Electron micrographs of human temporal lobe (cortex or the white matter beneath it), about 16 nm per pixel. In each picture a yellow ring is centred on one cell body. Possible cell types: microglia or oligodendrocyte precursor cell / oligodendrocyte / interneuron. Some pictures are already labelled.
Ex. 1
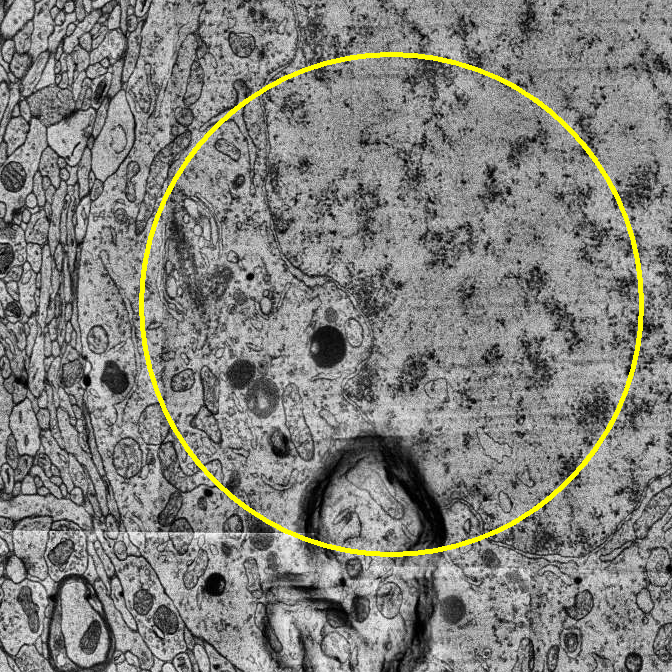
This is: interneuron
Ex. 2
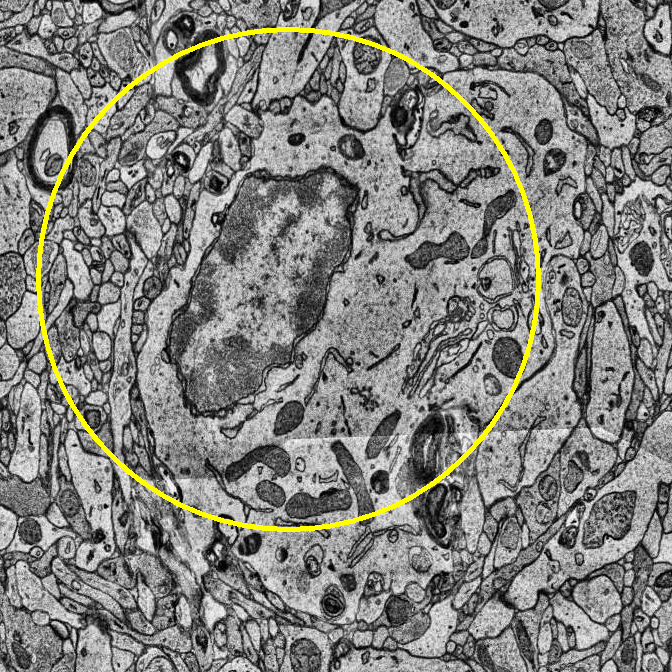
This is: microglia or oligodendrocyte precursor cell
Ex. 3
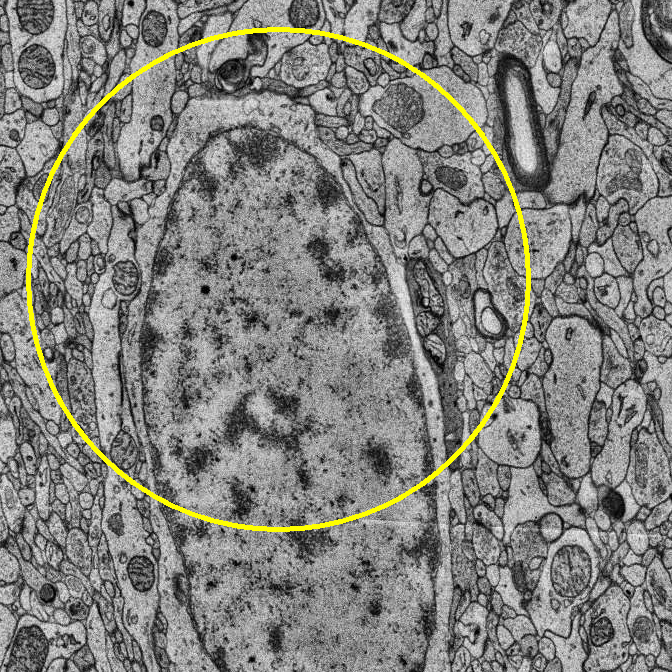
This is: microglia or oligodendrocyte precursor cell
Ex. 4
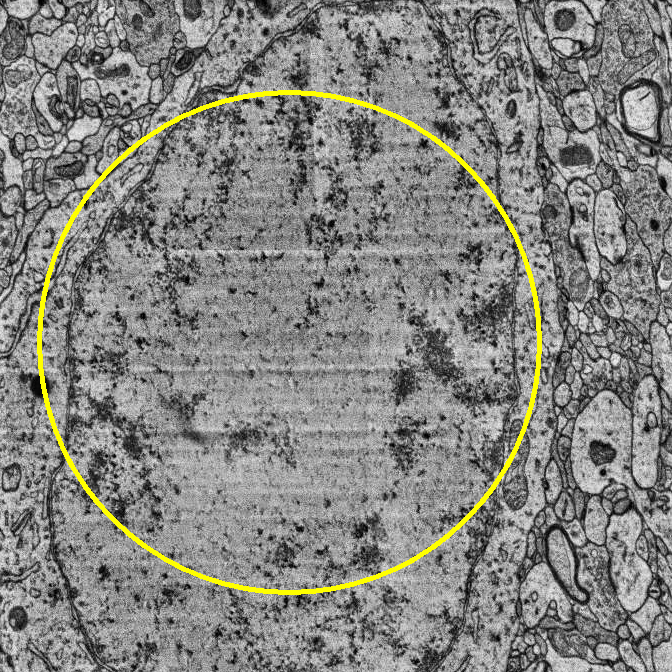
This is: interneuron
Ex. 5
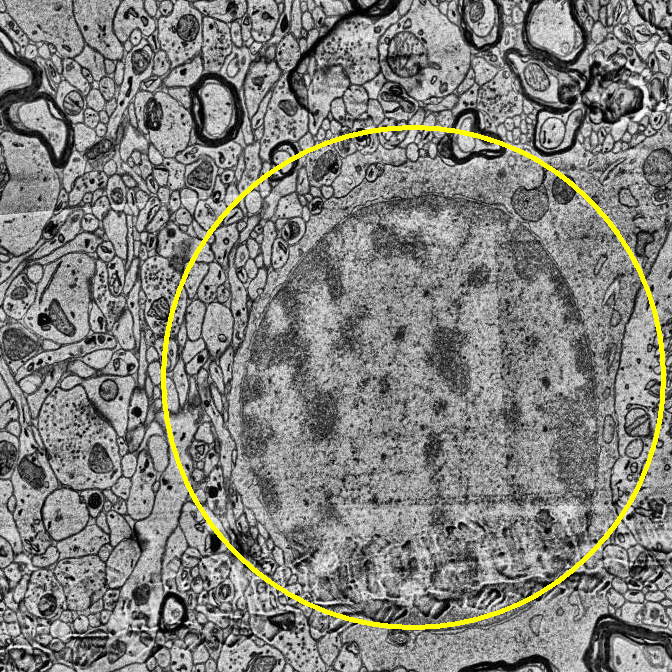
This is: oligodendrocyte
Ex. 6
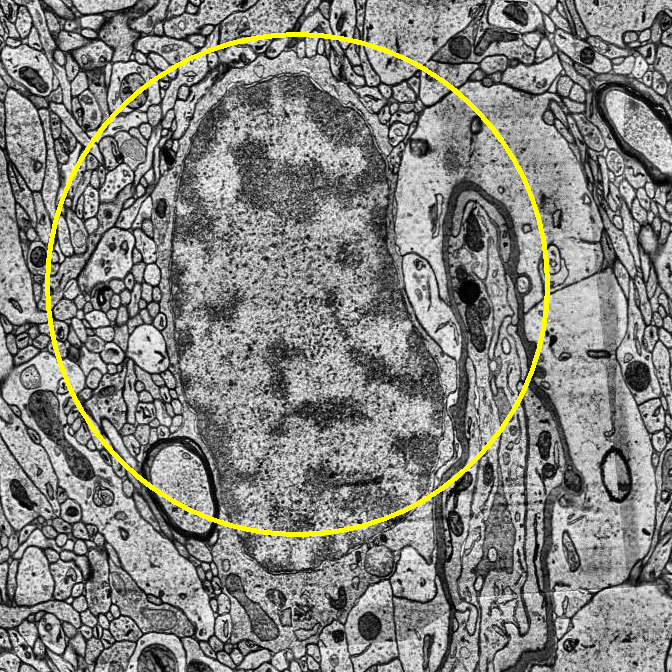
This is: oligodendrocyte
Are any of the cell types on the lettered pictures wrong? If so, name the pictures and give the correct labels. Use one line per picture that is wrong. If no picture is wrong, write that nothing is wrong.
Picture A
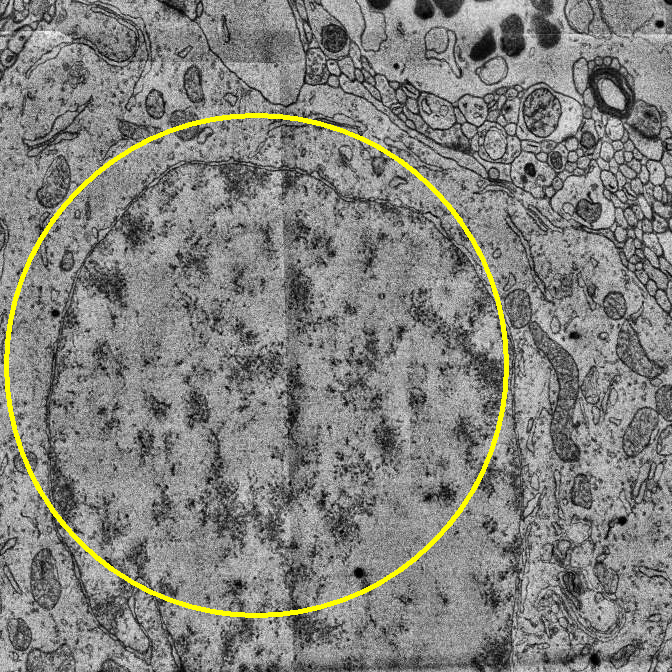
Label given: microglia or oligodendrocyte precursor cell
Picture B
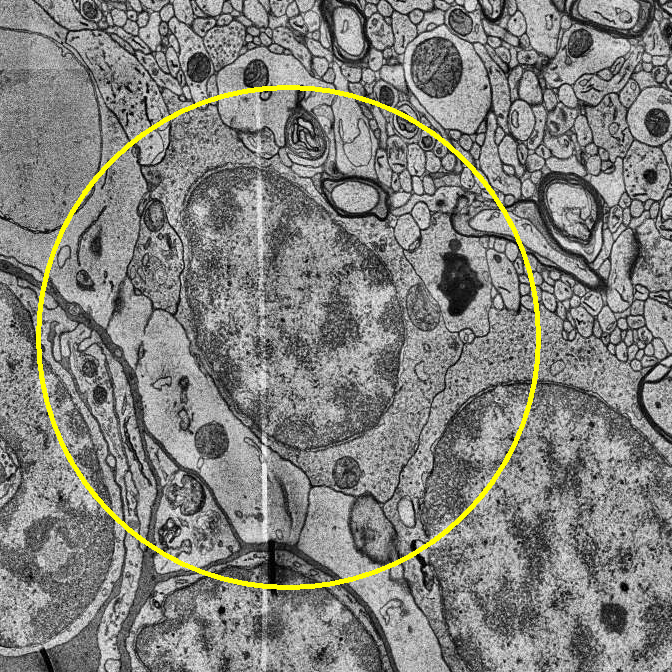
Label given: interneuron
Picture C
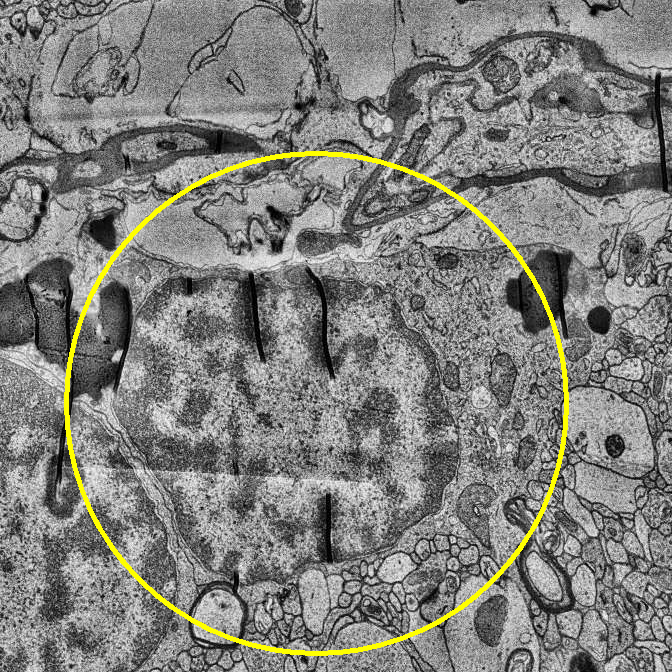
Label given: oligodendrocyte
Wrong: A (microglia or oligodendrocyte precursor cell); correct: interneuron
Wrong: B (interneuron); correct: oligodendrocyte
